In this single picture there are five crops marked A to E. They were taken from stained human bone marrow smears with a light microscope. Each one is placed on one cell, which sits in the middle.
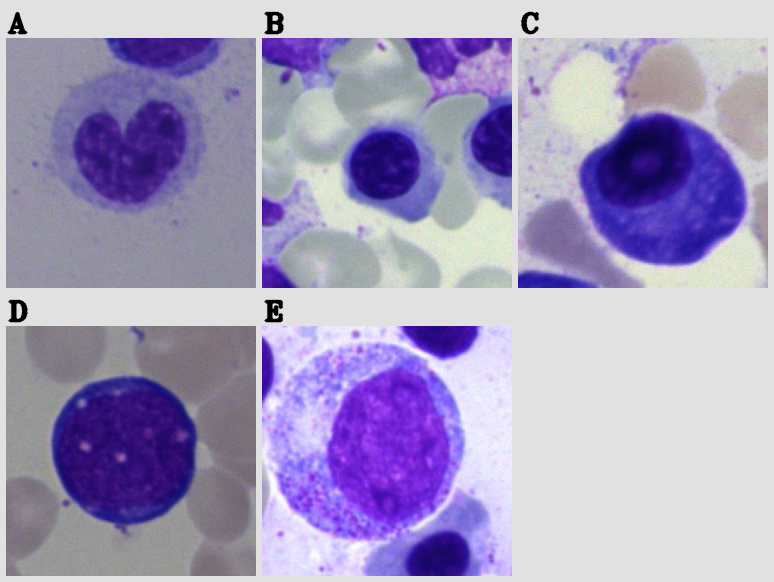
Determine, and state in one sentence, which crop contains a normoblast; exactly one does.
Among all the crops given here, the one with a normoblast is crop B.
